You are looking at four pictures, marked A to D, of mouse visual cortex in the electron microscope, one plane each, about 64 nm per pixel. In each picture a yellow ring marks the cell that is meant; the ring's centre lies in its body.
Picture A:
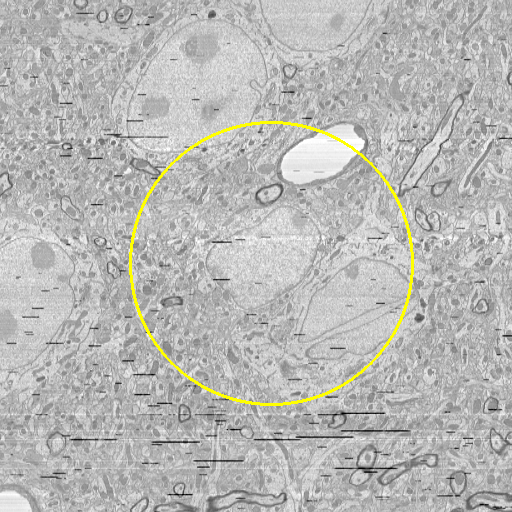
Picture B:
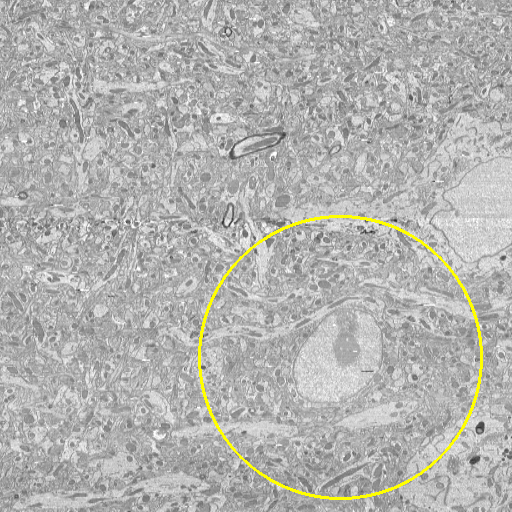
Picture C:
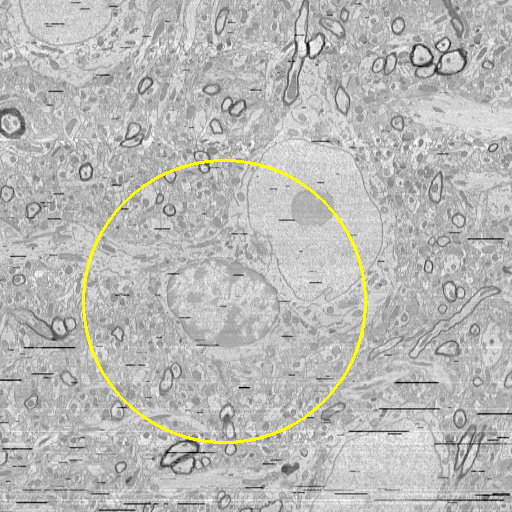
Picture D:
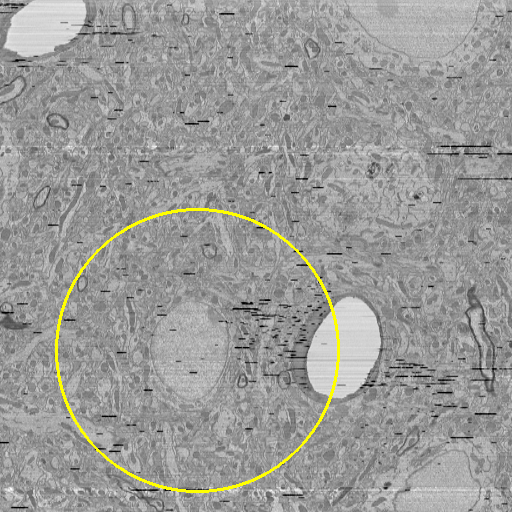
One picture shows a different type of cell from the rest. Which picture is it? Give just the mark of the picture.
C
